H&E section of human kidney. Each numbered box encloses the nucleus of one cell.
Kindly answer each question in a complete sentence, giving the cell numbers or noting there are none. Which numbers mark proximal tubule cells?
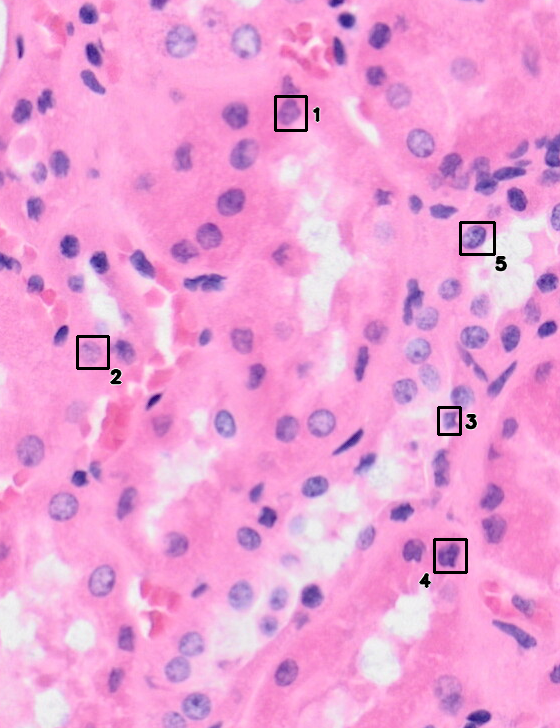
The cells that have been numbered 1 and 4 are proximal tubule cells.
